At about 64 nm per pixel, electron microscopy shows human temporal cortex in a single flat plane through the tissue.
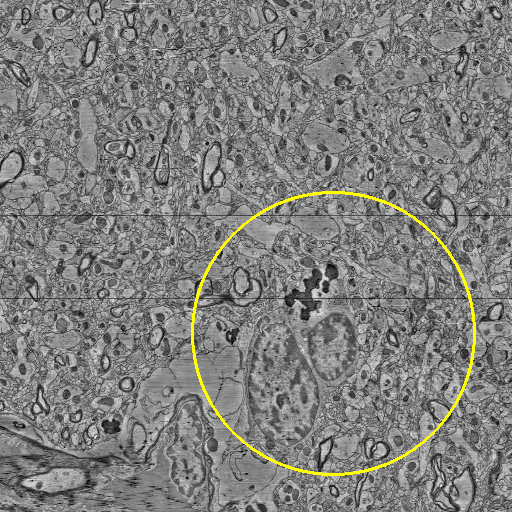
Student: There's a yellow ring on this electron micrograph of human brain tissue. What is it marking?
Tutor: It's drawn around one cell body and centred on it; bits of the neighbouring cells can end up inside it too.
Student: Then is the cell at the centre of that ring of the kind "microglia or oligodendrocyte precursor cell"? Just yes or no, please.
no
